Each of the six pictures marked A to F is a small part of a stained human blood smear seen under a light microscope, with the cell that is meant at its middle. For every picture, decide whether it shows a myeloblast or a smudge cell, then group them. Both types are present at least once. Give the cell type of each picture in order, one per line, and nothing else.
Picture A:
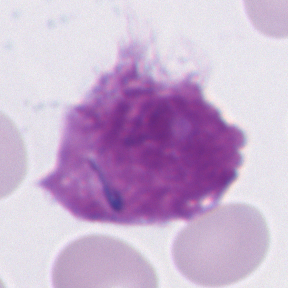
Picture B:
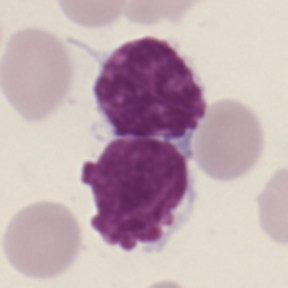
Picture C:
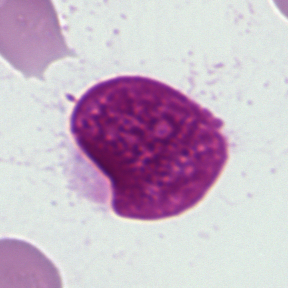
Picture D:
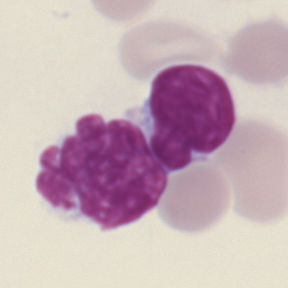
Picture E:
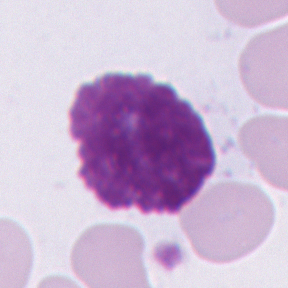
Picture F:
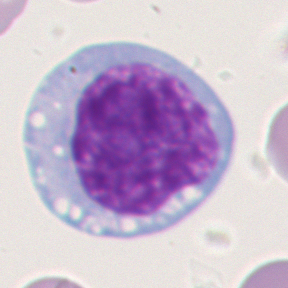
smudge cell
myeloblast
smudge cell
myeloblast
smudge cell
myeloblast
